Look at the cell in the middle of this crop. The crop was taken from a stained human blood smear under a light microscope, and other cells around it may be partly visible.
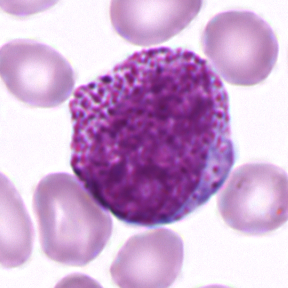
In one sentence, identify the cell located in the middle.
The middle of this crop holds a promyelocyte.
